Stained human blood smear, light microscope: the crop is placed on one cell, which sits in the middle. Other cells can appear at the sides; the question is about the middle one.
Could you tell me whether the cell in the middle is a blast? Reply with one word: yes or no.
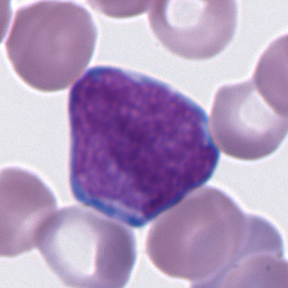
yes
